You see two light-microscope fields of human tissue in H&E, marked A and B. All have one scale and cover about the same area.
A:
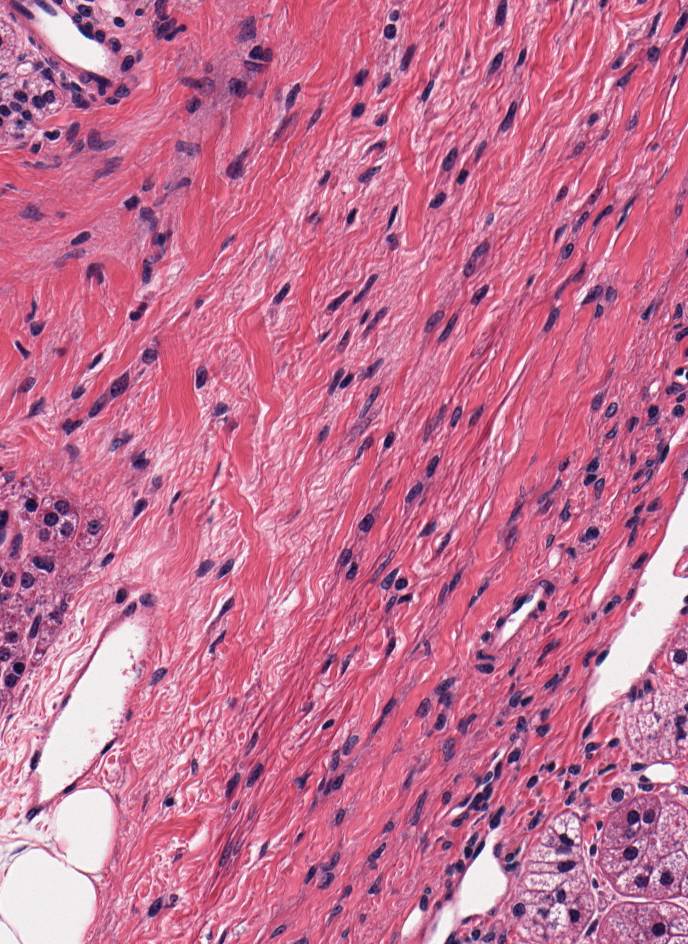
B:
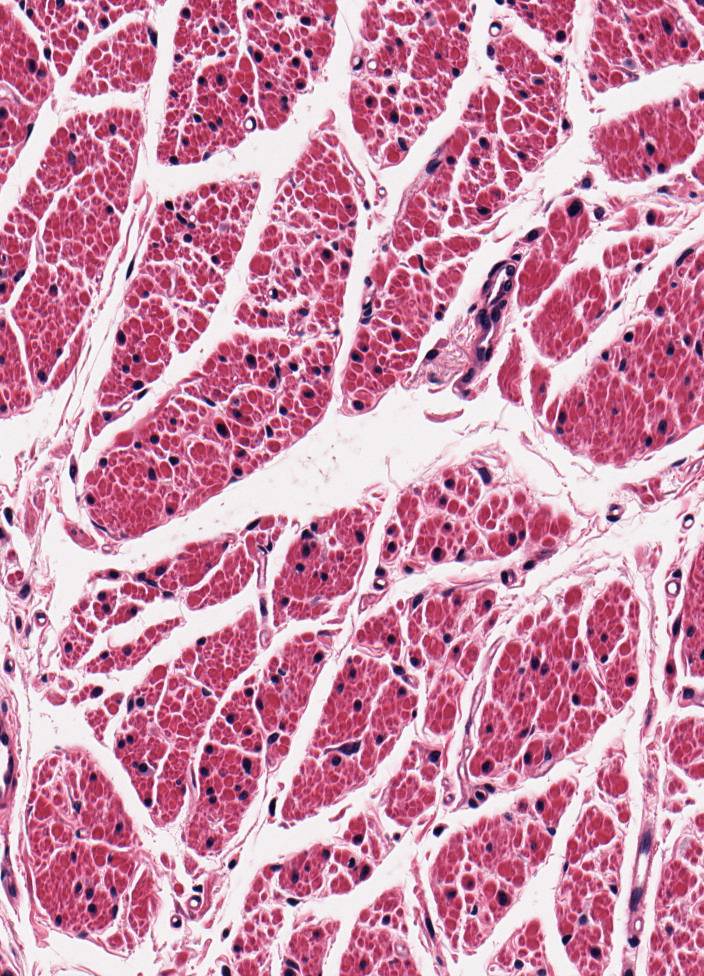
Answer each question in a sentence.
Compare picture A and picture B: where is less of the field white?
Picture A has less white space.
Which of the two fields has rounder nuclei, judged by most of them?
On the whole the nuclei of picture B are rounder than those of picture A.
